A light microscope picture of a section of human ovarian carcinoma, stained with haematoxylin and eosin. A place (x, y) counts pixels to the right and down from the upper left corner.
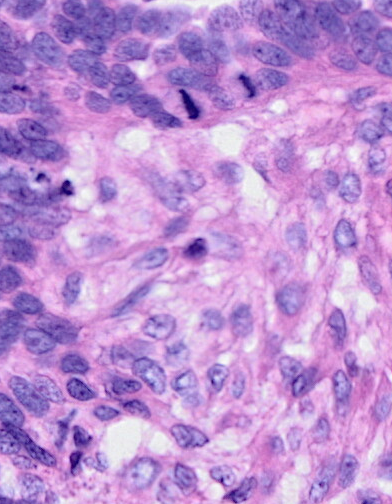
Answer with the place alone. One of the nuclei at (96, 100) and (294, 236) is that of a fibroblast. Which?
(294, 236)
